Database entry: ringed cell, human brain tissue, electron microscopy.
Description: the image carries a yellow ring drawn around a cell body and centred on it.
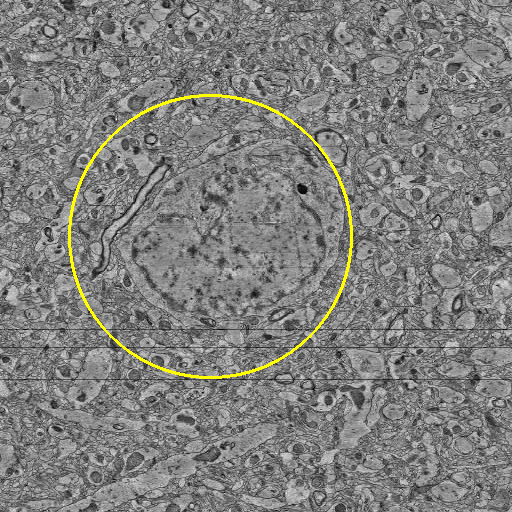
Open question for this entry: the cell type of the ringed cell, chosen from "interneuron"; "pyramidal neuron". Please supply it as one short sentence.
The ringed cell is an interneuron.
